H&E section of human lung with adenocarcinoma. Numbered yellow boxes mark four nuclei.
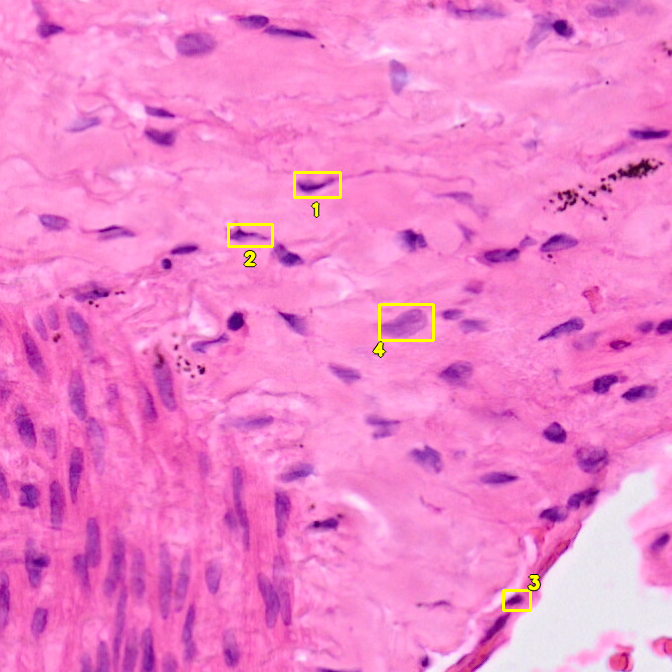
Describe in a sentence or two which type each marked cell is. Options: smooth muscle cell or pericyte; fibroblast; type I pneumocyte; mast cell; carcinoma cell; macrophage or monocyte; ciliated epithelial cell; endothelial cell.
Cell 1 is a fibroblast, cell 2 is a fibroblast, cell 3 is an endothelial cell and cell 4 is a fibroblast.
